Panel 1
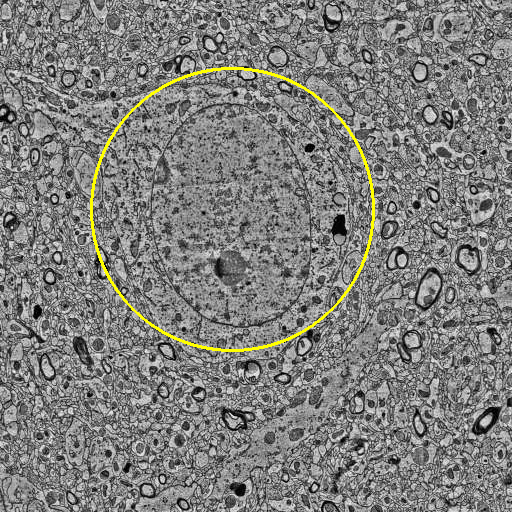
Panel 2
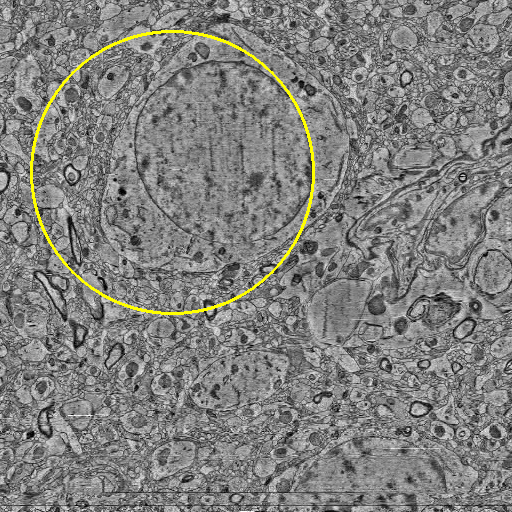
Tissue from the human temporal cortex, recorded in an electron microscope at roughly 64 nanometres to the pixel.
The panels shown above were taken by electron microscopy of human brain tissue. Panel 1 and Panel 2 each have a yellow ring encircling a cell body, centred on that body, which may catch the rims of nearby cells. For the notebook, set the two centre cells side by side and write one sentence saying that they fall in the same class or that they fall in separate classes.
The centred cells of Panel 1 and Panel 2 fall in the same class.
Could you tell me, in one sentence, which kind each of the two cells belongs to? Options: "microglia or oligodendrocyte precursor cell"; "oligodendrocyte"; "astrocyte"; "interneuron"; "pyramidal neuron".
Each of the two cells is a pyramidal neuron.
